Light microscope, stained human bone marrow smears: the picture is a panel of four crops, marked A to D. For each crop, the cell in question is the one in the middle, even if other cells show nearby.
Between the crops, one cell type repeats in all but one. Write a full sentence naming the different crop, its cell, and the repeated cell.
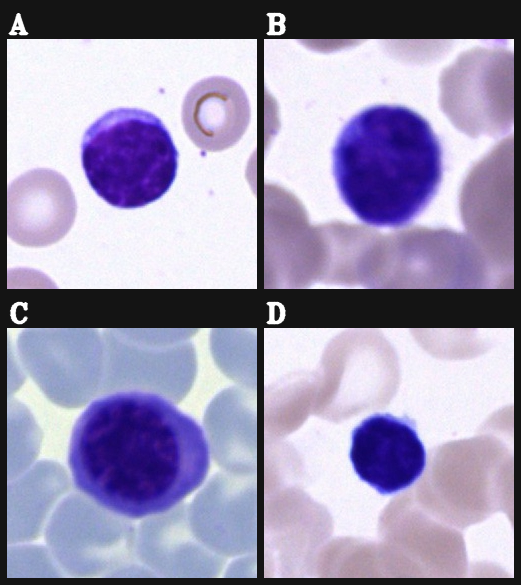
The set is made up of lymphocytes, with the single exception of crop C, which is an erythroblast.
